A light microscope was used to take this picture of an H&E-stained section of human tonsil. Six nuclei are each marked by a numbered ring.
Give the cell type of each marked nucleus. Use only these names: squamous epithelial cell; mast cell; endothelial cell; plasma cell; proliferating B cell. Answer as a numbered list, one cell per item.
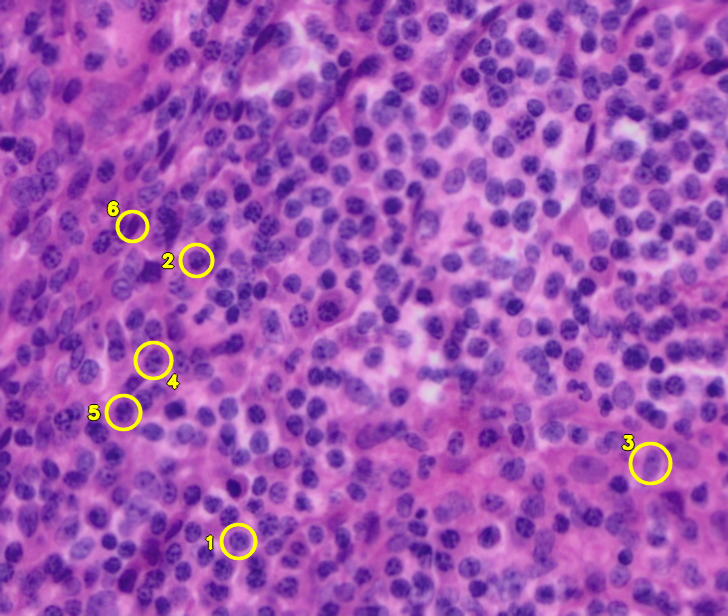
1. plasma cell
2. plasma cell
3. squamous epithelial cell
4. plasma cell
5. plasma cell
6. squamous epithelial cell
